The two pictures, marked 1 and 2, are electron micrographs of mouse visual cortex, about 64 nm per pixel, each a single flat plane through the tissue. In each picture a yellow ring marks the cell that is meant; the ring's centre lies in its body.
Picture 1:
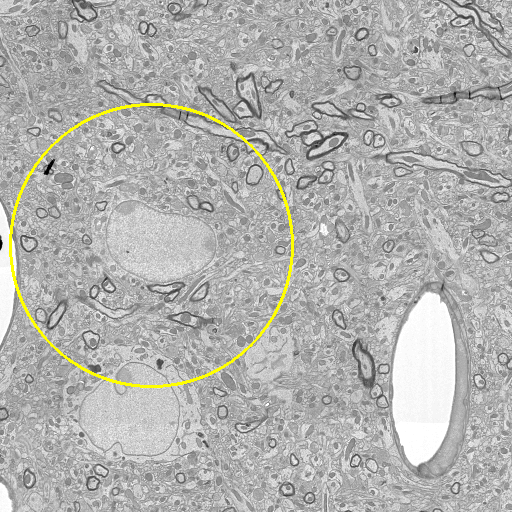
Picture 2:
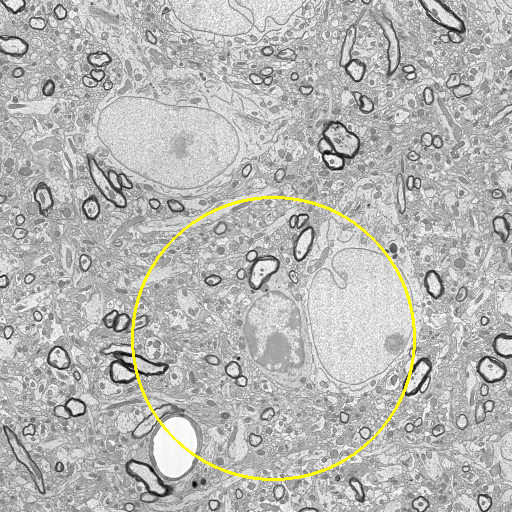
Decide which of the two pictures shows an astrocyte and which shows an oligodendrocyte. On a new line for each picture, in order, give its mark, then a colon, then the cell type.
1: astrocyte
2: oligodendrocyte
